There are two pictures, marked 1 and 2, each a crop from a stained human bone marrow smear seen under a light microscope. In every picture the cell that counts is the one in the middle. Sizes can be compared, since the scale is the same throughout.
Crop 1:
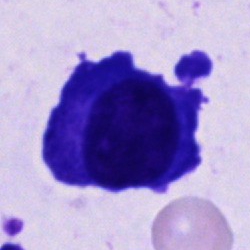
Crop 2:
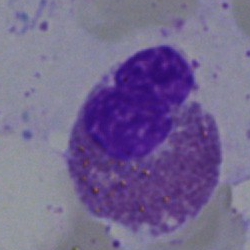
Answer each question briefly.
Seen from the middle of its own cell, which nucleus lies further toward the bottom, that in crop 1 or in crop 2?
1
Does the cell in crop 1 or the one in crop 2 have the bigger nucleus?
1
